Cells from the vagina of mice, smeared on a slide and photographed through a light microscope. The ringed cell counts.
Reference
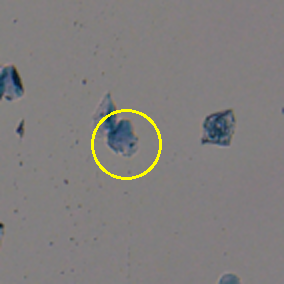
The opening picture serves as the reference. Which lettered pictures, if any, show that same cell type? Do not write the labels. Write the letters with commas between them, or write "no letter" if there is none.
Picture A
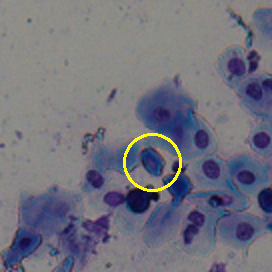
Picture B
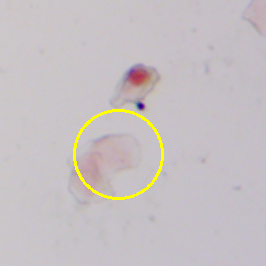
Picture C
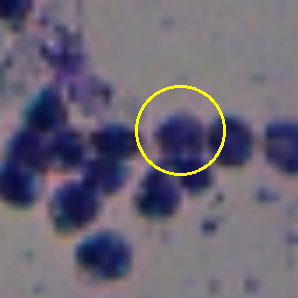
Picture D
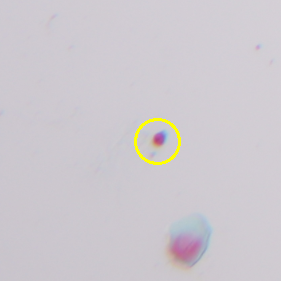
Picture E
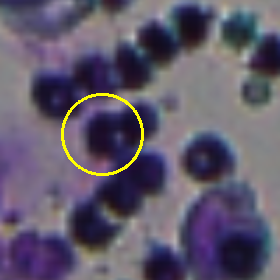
B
